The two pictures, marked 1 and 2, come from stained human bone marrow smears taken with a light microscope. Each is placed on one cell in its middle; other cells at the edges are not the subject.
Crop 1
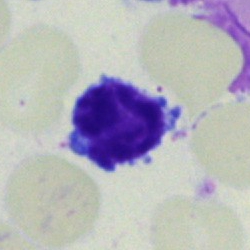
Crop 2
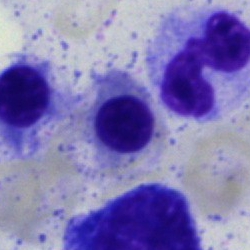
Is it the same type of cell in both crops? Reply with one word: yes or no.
no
